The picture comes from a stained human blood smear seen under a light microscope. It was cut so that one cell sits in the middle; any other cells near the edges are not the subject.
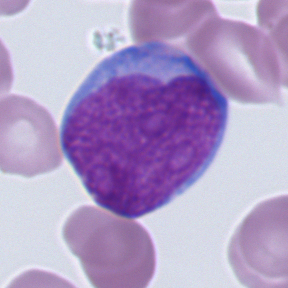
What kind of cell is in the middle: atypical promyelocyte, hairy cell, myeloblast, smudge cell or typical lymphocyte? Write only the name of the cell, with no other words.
myeloblast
